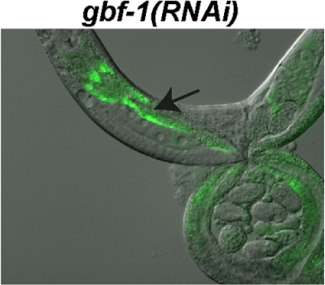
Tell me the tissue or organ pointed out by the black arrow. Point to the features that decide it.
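The arrow points to a bright green band running lengthwise inside the worm's body. The band lies in the middle of the body. On this evidence: intestine.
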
